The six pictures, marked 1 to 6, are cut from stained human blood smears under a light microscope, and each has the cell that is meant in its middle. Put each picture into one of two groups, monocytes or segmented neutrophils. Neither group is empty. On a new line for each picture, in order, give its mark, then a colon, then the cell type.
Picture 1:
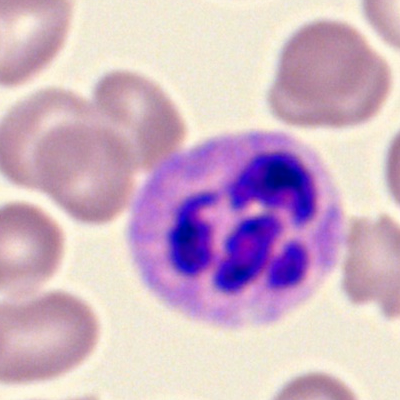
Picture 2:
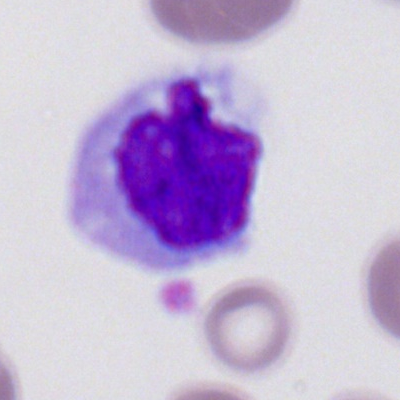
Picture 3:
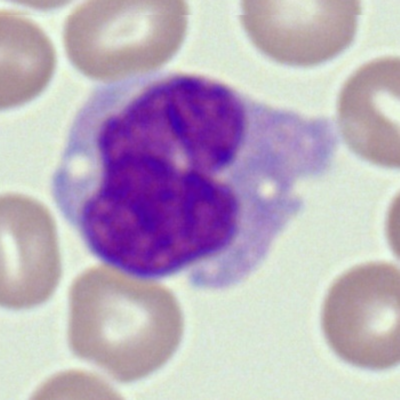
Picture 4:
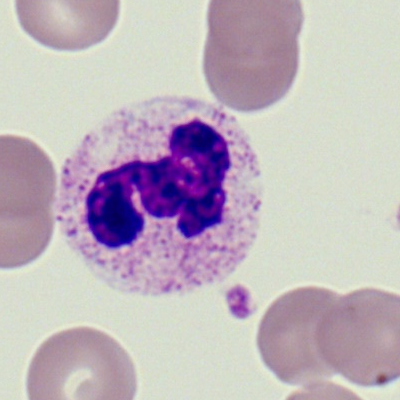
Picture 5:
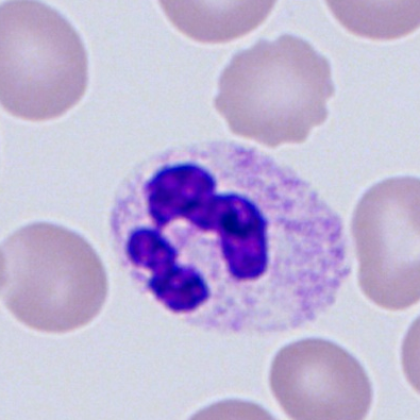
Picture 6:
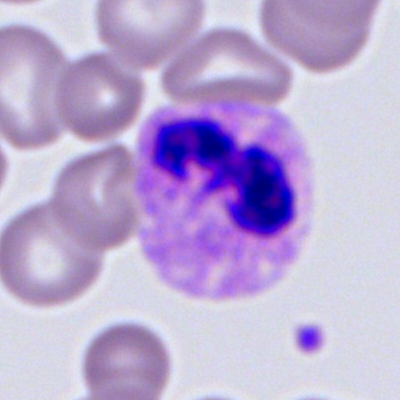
1: segmented neutrophil
2: monocyte
3: monocyte
4: segmented neutrophil
5: segmented neutrophil
6: segmented neutrophil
